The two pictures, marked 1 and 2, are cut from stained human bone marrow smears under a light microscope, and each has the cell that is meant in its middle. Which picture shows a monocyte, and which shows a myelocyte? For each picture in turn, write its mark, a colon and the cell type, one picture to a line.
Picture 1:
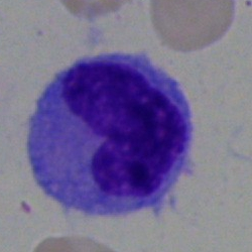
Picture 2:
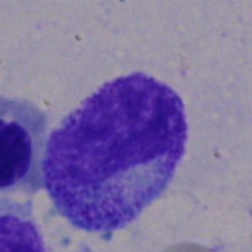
1: monocyte
2: myelocyte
